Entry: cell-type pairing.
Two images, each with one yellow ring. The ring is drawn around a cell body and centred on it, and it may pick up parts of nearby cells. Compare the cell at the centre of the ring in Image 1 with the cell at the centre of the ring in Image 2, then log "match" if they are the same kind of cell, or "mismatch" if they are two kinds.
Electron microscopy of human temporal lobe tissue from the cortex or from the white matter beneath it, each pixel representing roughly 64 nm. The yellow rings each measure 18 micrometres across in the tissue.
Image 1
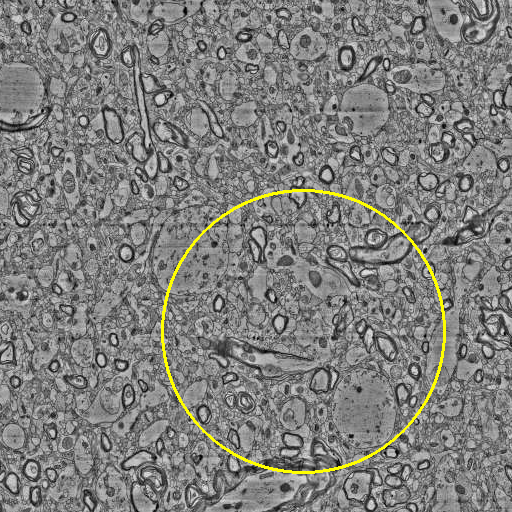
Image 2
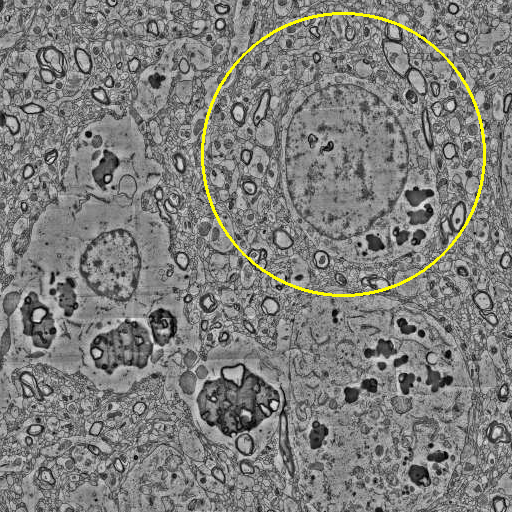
mismatch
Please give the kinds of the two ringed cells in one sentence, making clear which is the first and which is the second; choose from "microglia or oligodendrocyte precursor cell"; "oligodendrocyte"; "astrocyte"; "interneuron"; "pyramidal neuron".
In the second picture the ringed cell is an interneuron; in the first it is a microglial cell or oligodendrocyte precursor cell.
